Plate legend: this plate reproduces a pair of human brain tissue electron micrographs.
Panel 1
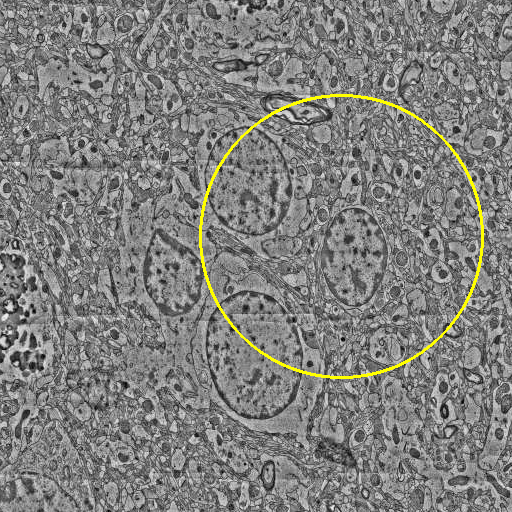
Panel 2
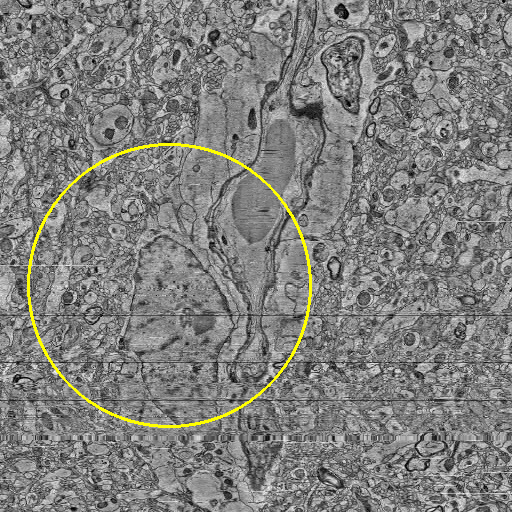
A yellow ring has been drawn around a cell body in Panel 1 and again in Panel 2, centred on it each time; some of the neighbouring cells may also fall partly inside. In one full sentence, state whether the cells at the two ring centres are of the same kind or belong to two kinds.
The ring-centred cells of Panel 1 and Panel 2 are of the same kind.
